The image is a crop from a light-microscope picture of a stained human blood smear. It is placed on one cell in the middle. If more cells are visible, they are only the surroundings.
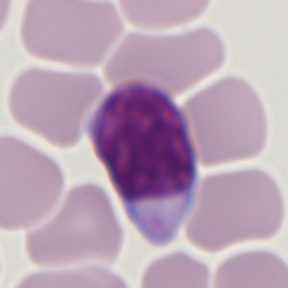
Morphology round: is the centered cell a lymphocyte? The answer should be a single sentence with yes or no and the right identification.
Yes, the cell here in the middle is a lymphocyte.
